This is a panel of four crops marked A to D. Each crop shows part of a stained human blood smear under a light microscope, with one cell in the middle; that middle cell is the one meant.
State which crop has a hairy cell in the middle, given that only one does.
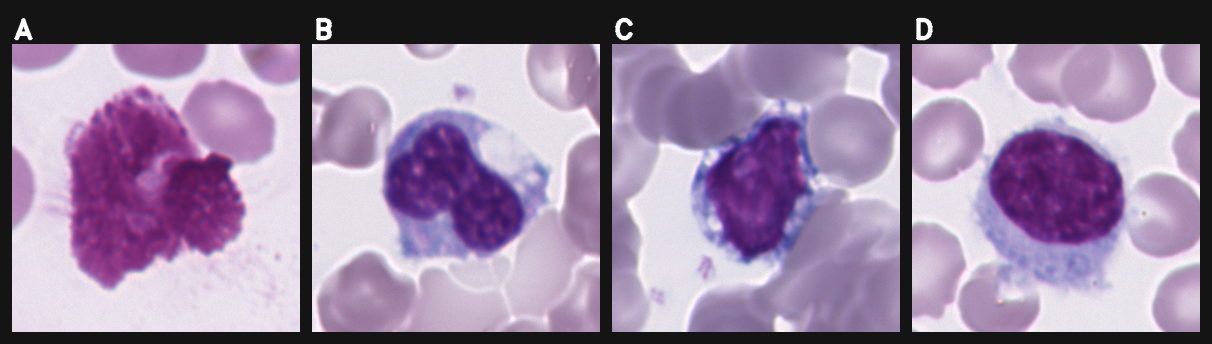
D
